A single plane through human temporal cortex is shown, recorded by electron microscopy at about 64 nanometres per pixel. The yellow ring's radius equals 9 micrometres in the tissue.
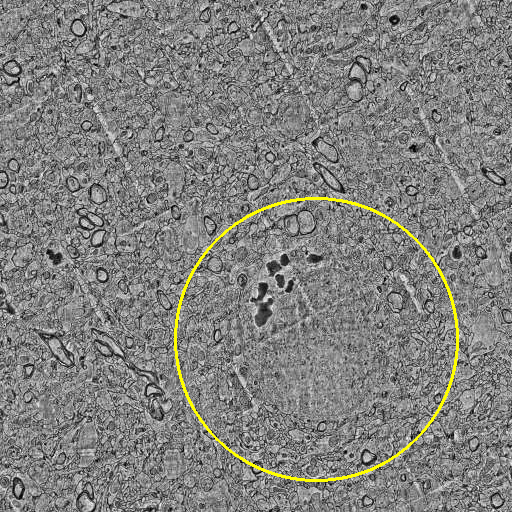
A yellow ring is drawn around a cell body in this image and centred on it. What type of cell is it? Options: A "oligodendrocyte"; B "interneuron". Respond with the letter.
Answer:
B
